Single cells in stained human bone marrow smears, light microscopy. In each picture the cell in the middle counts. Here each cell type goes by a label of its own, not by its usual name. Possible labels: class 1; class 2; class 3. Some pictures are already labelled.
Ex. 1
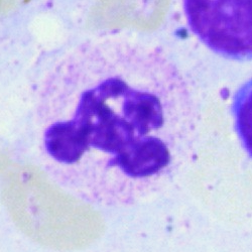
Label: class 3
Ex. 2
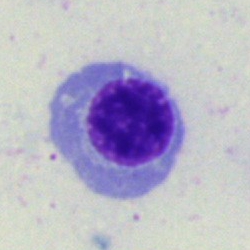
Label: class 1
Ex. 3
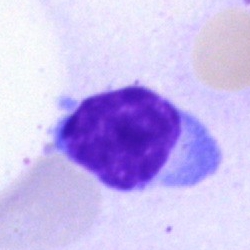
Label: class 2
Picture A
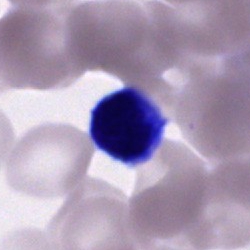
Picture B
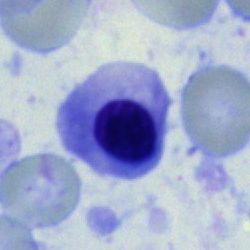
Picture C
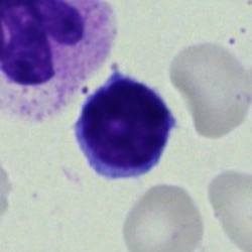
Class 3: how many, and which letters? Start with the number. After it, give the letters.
0, none of them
